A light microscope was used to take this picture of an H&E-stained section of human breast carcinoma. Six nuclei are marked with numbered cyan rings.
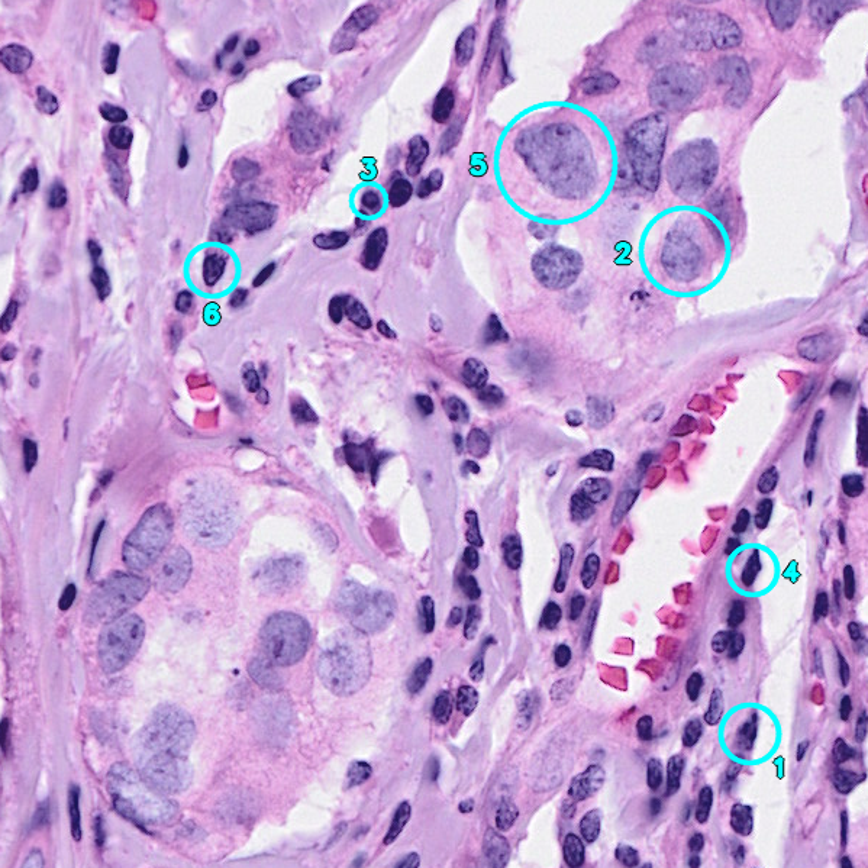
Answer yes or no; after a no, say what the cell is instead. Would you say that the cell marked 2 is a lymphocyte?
No, it is a carcinoma cell.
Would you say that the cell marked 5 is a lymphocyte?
No, it is a carcinoma cell.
